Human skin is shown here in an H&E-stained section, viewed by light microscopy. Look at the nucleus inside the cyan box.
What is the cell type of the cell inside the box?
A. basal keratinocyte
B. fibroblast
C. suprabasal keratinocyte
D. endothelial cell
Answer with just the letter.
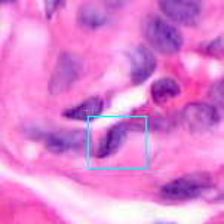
D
